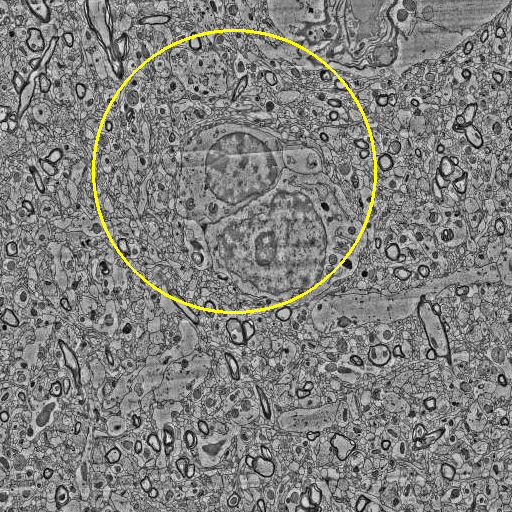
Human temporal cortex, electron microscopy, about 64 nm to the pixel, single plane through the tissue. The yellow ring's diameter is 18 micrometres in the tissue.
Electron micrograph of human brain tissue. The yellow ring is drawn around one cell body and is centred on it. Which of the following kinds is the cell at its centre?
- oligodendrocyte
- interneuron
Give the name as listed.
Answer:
oligodendrocyte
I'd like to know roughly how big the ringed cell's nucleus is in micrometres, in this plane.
In this plane, roughly 5 micrometres across.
